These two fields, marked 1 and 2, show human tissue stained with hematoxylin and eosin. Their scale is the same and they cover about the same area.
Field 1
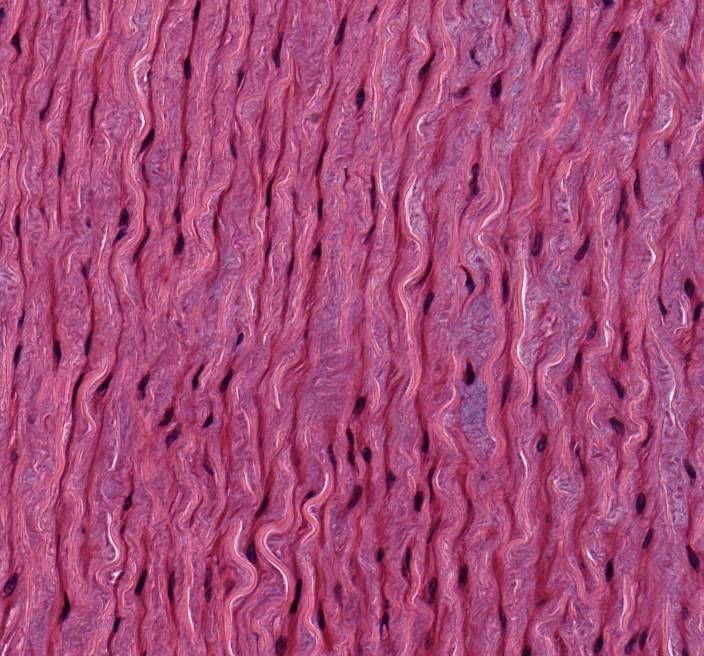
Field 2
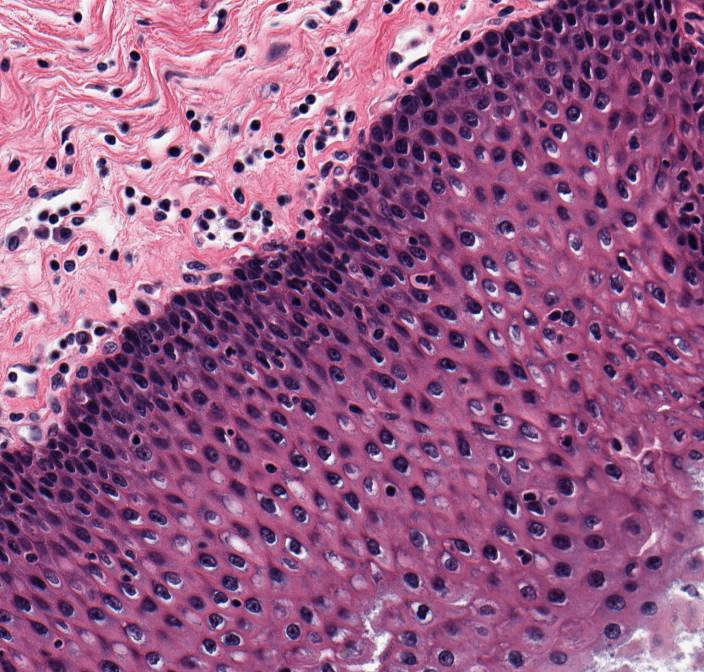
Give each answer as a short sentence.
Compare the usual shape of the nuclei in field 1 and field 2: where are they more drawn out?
Longer, more slender nuclei lie in field 1.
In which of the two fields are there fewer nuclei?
There are fewer nuclei in field 1.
